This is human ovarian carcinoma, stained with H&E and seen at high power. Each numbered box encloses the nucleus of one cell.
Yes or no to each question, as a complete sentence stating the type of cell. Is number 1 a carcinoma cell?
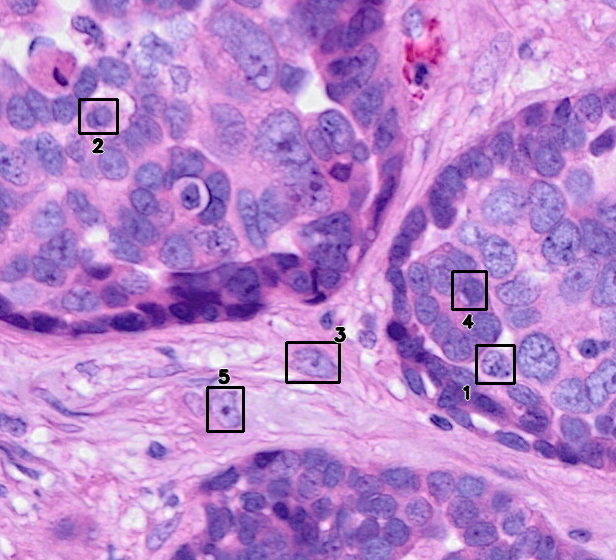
No, for cell 1, the correct identification is a macrophage or monocyte instead of a carcinoma cell.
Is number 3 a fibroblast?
Yes, the cell marked by the number 3 is a fibroblast.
